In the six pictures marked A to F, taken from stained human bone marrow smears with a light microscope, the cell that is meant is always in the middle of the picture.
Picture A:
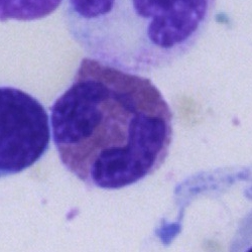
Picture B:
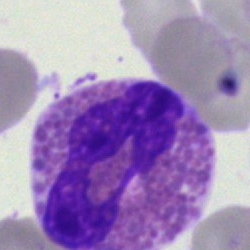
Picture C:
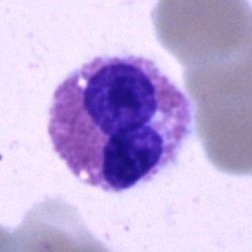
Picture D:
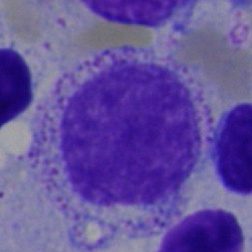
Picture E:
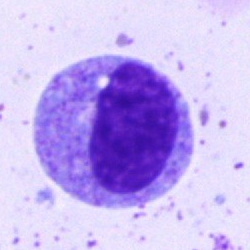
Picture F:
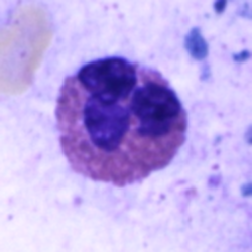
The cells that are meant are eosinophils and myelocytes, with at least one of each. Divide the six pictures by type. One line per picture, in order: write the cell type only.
eosinophil
eosinophil
eosinophil
myelocyte
myelocyte
eosinophil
